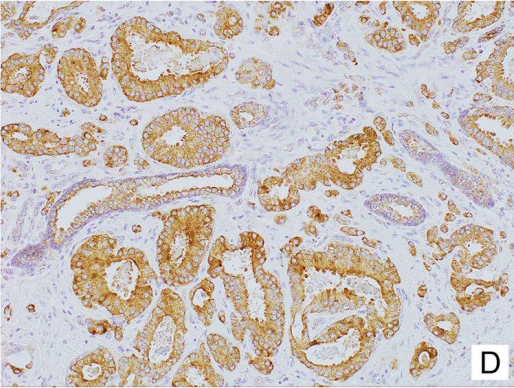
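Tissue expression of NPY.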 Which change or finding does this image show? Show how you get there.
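Malignant glands. Many small crowded glands infiltrate the stroma. Gland cells have enlarged nuclei and strong brown cytoplasm.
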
